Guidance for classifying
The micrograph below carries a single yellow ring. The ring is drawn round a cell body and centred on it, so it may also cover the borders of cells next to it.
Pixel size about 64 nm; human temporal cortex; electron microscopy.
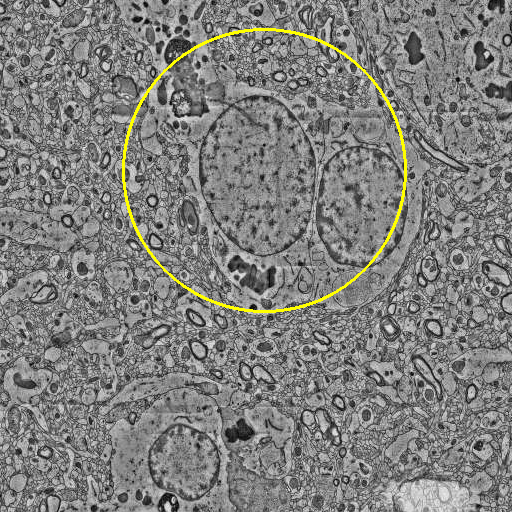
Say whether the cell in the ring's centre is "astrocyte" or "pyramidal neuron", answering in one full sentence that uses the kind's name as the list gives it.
Within the yellow ring, an astrocyte is the cell whose body sits at the centre.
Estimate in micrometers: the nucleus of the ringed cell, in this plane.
The ringed cell's nucleus measures approximately 10 by 7 micrometres in this plane.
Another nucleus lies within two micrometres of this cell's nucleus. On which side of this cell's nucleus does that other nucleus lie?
The other nucleus lies to the right of it.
